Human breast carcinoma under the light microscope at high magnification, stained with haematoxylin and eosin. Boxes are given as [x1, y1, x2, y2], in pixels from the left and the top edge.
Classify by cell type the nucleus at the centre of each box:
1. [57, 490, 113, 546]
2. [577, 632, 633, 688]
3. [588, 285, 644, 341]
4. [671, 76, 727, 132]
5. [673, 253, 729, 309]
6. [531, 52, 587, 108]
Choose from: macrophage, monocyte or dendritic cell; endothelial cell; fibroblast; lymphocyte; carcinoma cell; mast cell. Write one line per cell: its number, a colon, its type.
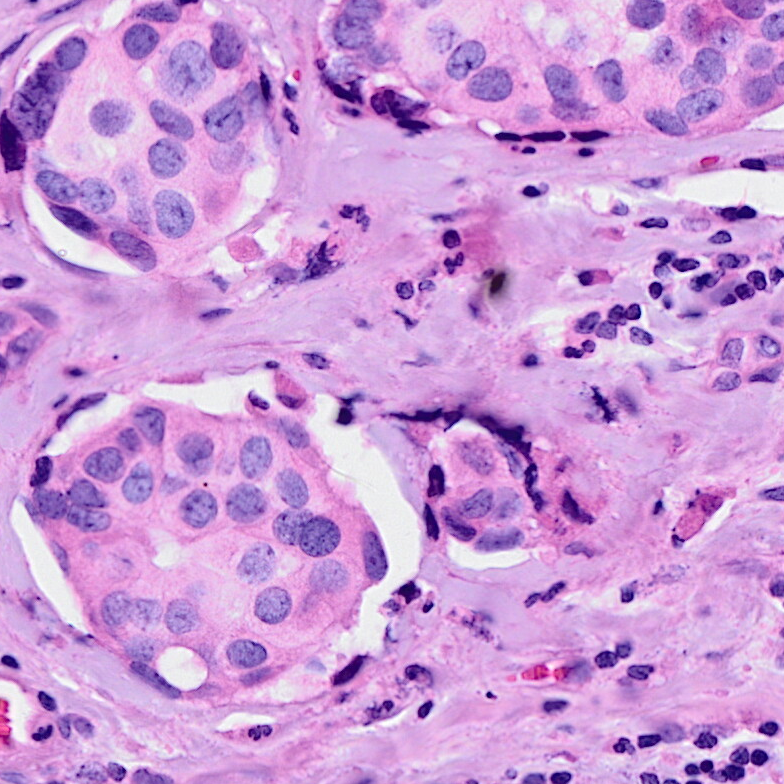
1: carcinoma cell
2: lymphocyte
3: lymphocyte
4: carcinoma cell
5: lymphocyte
6: carcinoma cell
